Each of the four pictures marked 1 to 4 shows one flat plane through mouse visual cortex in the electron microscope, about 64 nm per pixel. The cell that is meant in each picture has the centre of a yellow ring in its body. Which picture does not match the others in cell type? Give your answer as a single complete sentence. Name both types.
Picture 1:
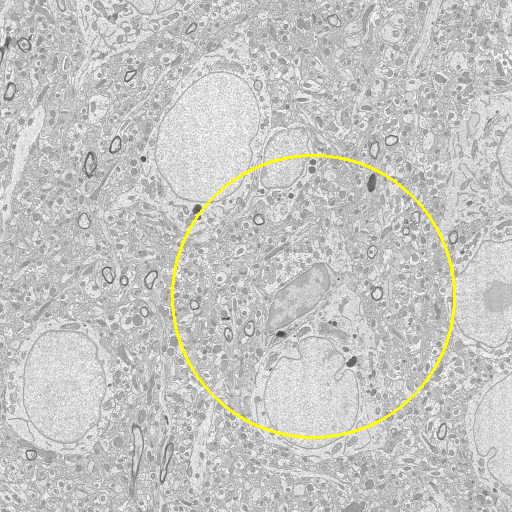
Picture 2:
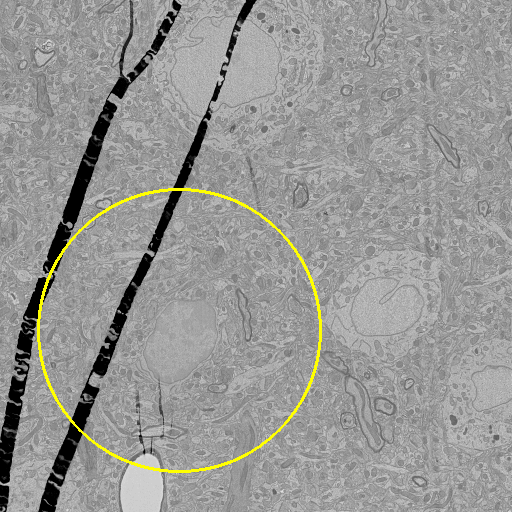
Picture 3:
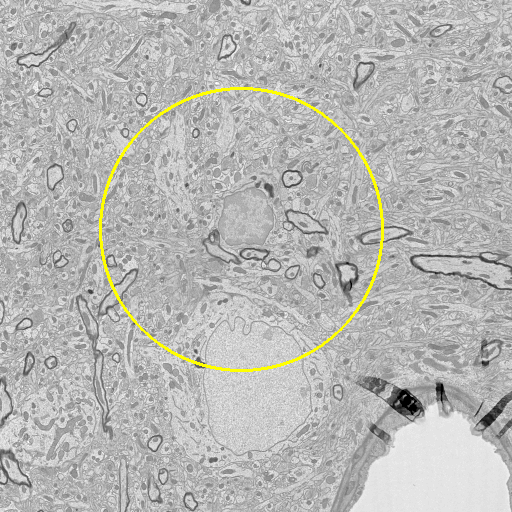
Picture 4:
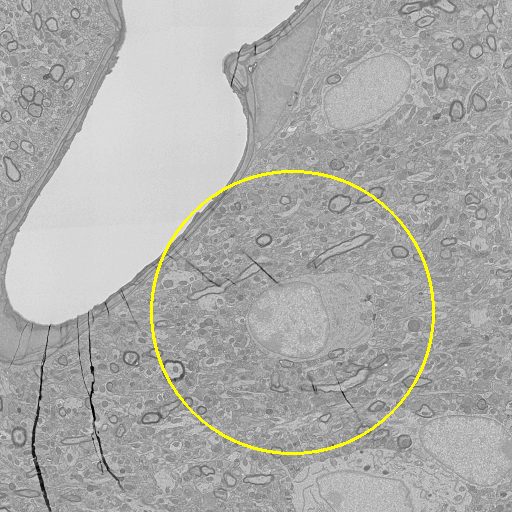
The different one is picture 4; it shows an oligodendrocyte, whereas all the others show microglial cells.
